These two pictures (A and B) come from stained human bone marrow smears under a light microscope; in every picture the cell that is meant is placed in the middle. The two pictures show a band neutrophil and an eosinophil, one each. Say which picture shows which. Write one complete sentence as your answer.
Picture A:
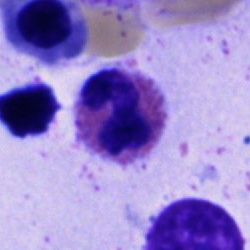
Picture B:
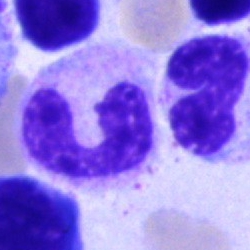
In picture A the cell is an eosinophil; in picture B, a band neutrophil.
